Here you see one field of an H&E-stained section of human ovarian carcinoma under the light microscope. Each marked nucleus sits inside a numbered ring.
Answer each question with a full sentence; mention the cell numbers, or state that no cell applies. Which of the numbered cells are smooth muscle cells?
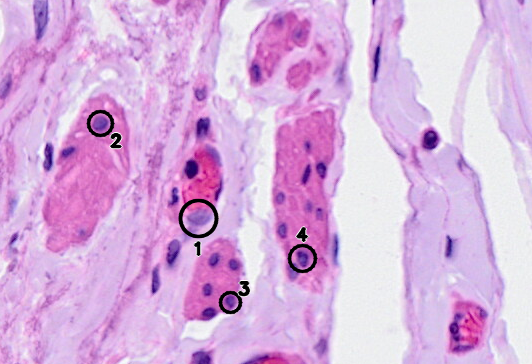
The cells numbered 2, 3 and 4 are of the kind known as smooth muscle cells.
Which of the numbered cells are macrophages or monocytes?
The marked and numbered cells comprise no macrophages or monocytes.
